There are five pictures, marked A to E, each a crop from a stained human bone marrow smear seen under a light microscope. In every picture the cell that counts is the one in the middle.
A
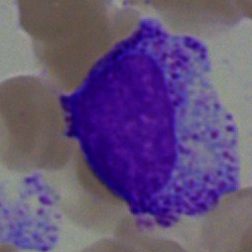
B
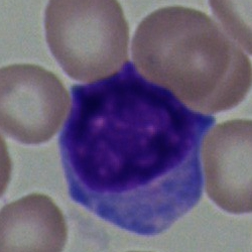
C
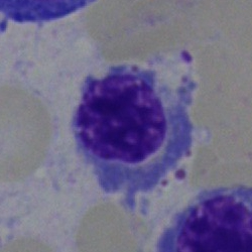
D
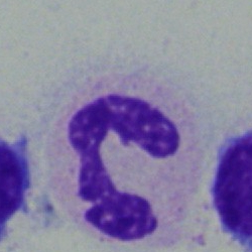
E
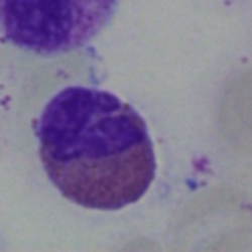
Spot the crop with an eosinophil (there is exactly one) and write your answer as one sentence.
The one that shows an eosinophil is crop E.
